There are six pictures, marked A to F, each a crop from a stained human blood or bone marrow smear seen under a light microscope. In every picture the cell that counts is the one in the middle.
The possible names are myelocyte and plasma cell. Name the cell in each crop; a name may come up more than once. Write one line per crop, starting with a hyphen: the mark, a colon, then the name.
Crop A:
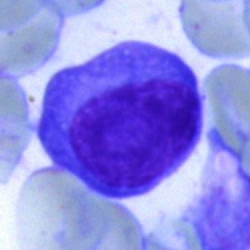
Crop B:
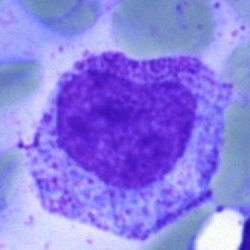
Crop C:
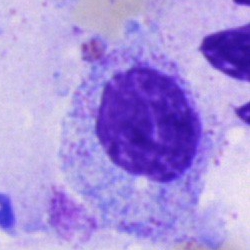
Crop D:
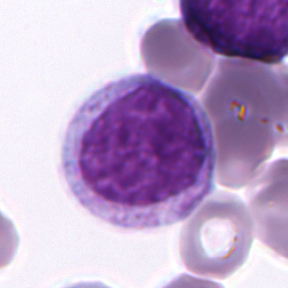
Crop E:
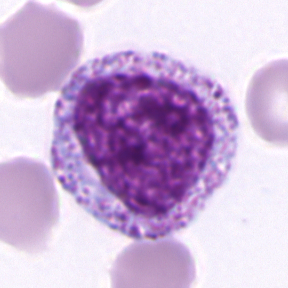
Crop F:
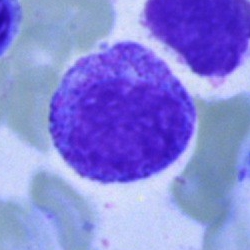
- A: plasma cell
- B: myelocyte
- C: myelocyte
- D: myelocyte
- E: myelocyte
- F: myelocyte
